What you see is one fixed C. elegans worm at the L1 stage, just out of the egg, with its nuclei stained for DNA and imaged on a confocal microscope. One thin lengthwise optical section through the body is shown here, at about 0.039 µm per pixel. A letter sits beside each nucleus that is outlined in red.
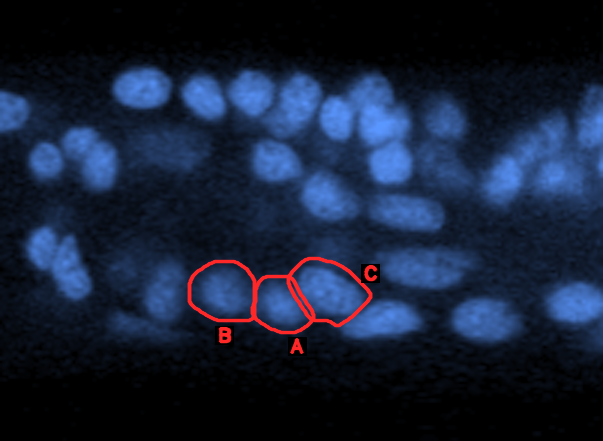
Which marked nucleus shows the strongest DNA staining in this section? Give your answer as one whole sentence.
Of the marked nuclei, C takes up the stain most strongly.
